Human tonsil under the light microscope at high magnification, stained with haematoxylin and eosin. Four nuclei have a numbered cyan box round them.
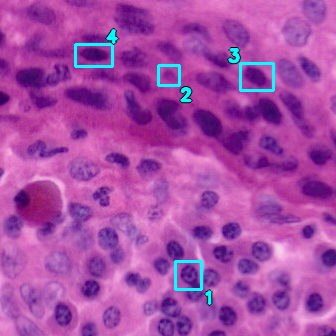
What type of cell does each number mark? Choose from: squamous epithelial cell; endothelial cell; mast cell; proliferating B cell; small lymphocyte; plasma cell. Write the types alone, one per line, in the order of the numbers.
plasma cell
squamous epithelial cell
squamous epithelial cell
squamous epithelial cell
